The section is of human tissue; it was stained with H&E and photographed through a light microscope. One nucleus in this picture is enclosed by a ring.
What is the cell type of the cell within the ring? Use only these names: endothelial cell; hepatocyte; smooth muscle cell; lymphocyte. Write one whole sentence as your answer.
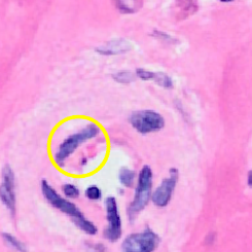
At the level of cell identity, the cell within the ring is an endothelial cell.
